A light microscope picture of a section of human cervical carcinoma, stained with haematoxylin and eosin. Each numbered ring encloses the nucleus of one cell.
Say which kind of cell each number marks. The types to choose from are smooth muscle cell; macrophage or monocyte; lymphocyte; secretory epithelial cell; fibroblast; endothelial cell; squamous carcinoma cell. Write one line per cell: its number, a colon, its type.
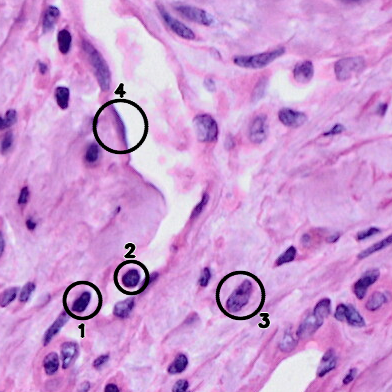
1: lymphocyte
2: lymphocyte
3: macrophage or monocyte
4: endothelial cell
